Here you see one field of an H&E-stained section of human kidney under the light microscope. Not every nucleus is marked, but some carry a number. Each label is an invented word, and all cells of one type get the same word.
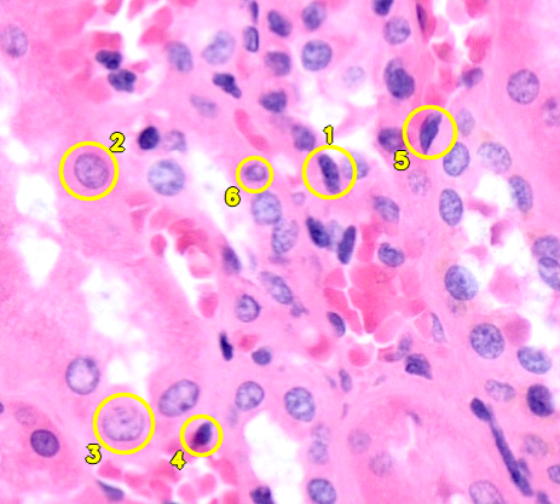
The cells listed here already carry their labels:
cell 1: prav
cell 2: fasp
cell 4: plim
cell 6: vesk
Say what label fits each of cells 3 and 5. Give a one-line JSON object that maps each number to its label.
{"3": "fasp", "5": "plim"}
